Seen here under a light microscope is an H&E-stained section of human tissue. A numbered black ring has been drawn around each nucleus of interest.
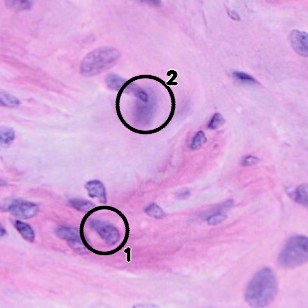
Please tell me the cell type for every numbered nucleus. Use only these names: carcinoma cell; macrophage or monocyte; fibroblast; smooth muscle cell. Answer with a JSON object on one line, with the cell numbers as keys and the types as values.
{"1": "smooth muscle cell", "2": "fibroblast"}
